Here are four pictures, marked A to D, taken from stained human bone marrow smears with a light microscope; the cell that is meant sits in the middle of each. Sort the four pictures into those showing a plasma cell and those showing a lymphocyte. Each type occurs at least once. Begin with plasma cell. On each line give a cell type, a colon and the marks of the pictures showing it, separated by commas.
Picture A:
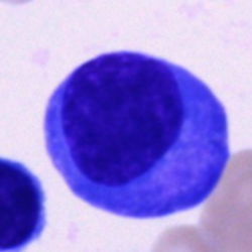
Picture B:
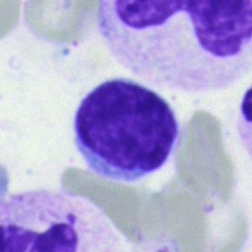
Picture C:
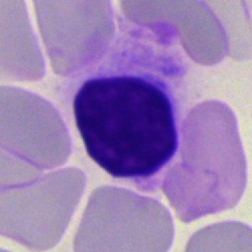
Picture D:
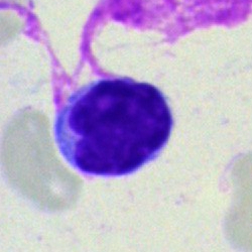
plasma cell: A
lymphocyte: B, C, D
